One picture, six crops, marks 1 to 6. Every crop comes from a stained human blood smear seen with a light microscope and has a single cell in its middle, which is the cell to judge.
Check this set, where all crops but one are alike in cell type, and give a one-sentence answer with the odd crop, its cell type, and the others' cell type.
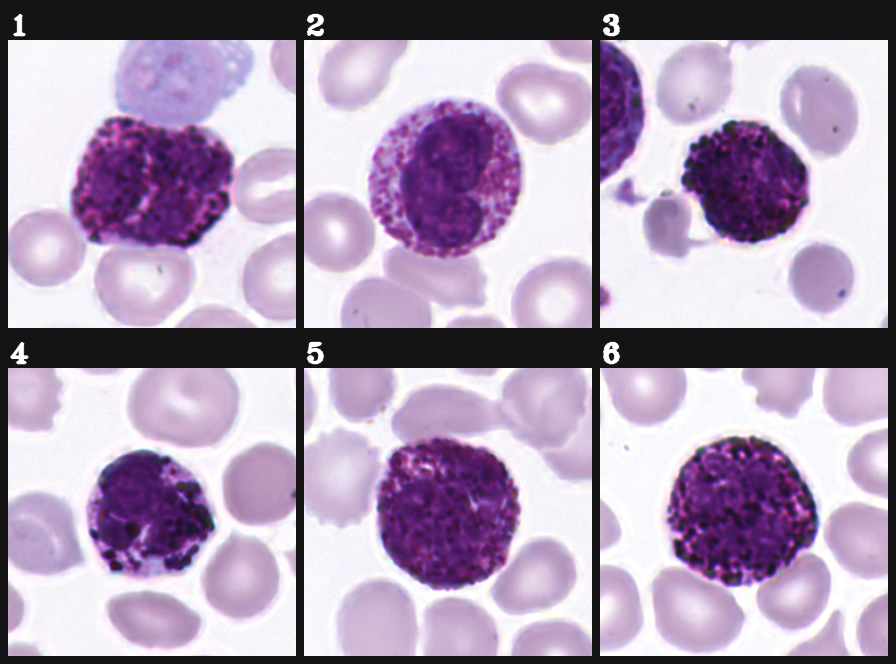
Crop 2 alone is an eosinophil, and the other crops are all basophils.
